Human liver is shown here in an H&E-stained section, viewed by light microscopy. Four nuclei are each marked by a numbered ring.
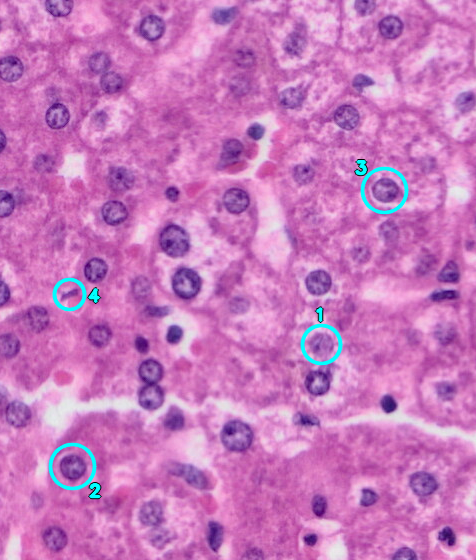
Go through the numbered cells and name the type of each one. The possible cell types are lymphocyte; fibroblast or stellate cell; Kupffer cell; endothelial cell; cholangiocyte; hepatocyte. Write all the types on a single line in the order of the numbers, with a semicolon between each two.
hepatocyte; hepatocyte; hepatocyte; endothelial cell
